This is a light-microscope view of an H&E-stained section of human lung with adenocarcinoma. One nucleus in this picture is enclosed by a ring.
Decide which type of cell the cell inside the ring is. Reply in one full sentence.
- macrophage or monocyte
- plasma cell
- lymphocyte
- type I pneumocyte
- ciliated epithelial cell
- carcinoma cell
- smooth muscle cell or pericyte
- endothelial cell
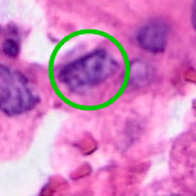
In cellular terms, the cell inside the ring is a carcinoma cell.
